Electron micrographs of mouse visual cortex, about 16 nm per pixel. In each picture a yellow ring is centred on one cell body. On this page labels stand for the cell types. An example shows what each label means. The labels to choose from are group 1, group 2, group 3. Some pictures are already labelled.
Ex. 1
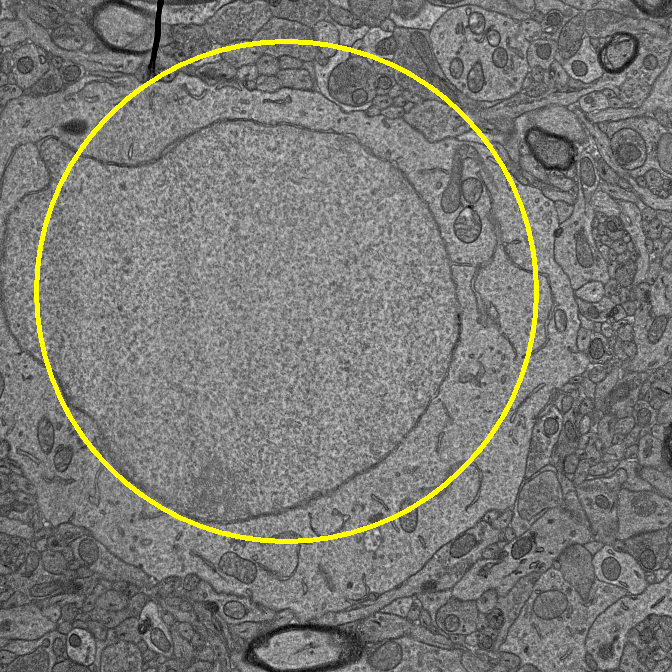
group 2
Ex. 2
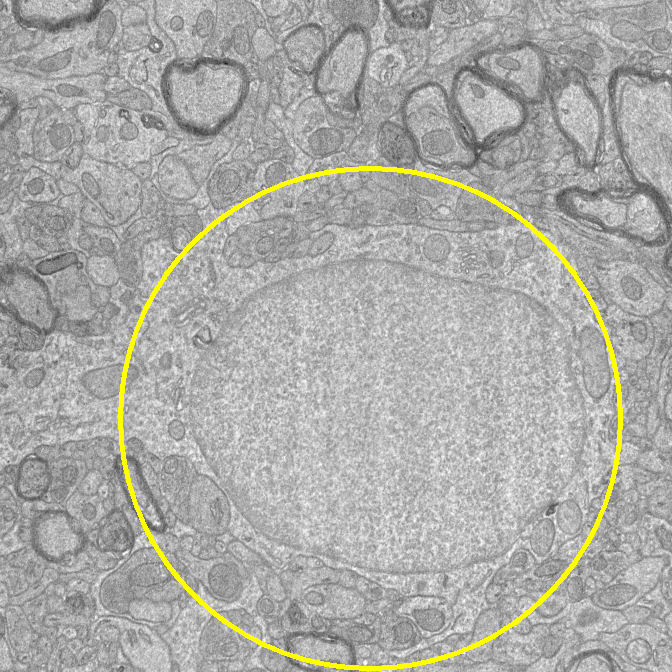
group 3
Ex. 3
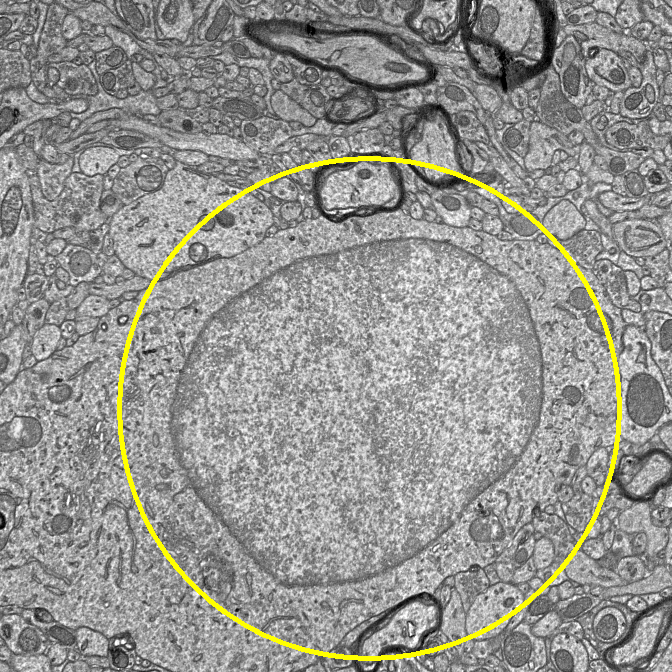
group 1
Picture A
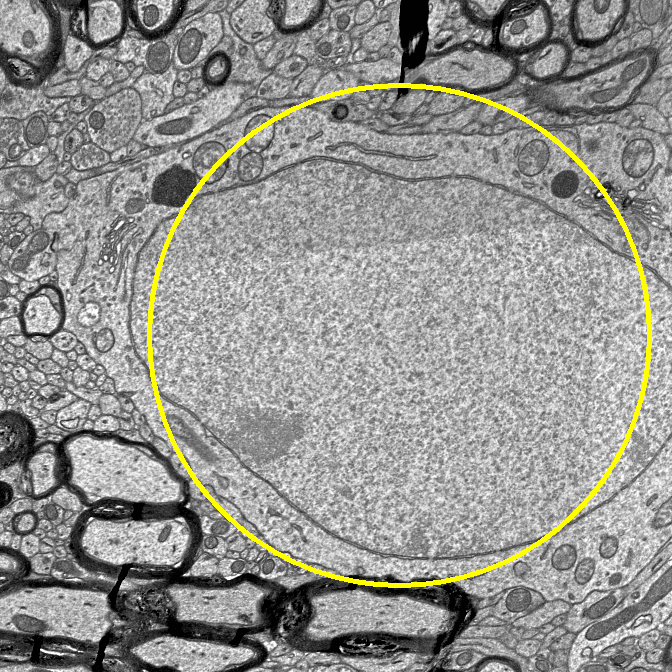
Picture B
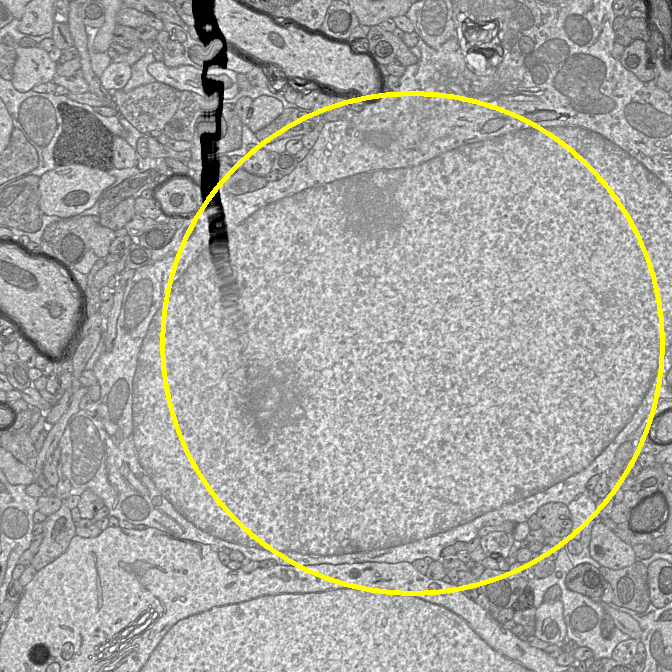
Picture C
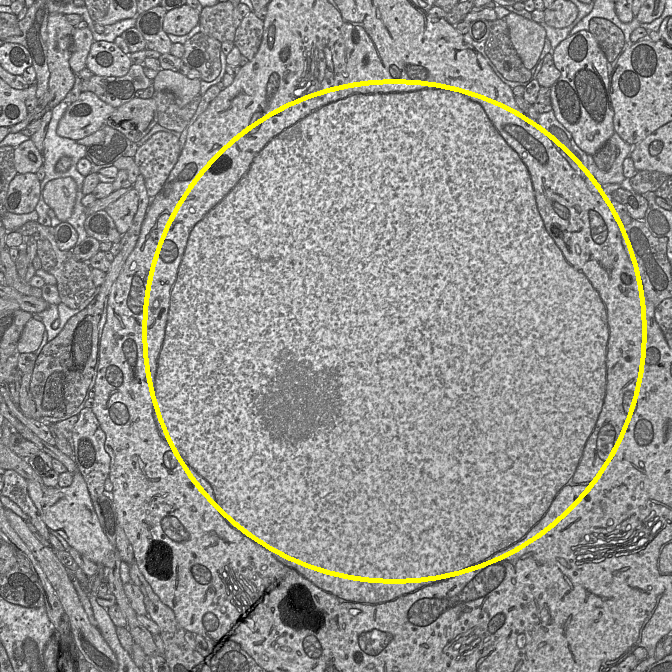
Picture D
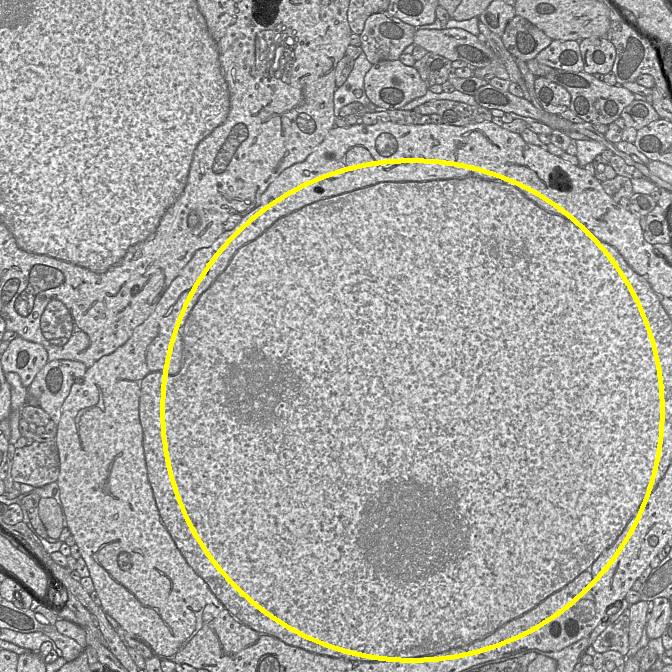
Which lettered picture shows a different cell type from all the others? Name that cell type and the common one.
Picture B: group 3. All others: group 2.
